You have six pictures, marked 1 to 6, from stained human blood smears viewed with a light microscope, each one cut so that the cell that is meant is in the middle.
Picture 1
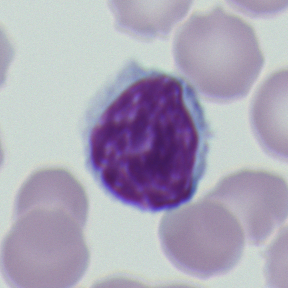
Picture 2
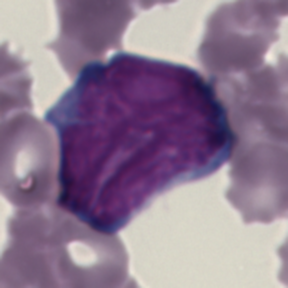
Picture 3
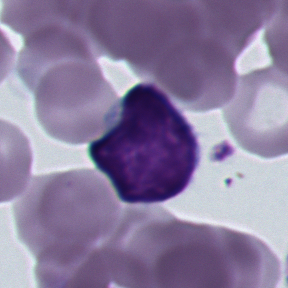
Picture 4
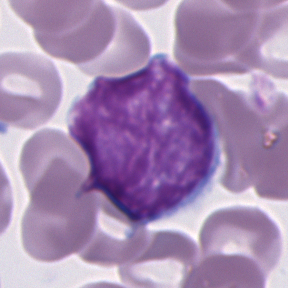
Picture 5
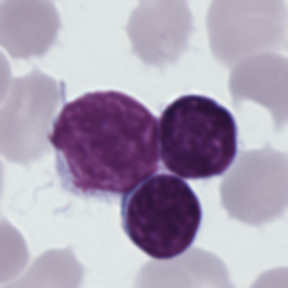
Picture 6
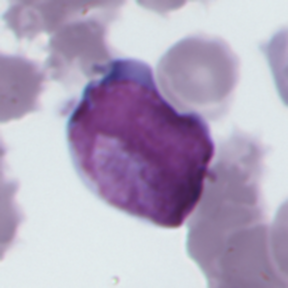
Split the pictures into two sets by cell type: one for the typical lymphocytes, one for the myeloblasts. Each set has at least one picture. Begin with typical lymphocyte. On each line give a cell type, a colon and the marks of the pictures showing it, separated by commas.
typical lymphocyte: 1, 3
myeloblast: 2, 4, 5, 6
